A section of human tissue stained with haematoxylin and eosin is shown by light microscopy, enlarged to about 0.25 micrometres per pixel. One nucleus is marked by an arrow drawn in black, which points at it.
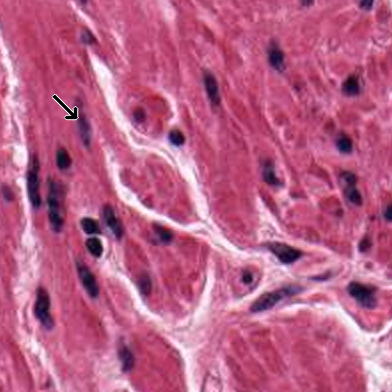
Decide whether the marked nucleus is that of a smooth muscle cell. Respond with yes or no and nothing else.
yes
